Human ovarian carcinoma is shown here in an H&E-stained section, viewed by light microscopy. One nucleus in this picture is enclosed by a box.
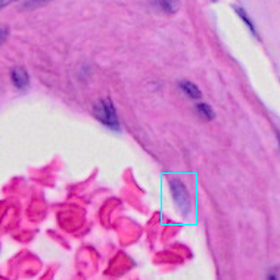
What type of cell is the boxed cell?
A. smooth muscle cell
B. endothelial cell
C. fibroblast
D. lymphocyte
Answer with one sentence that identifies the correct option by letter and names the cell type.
Since the boxed cell is an endothelial cell, option B is correct.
